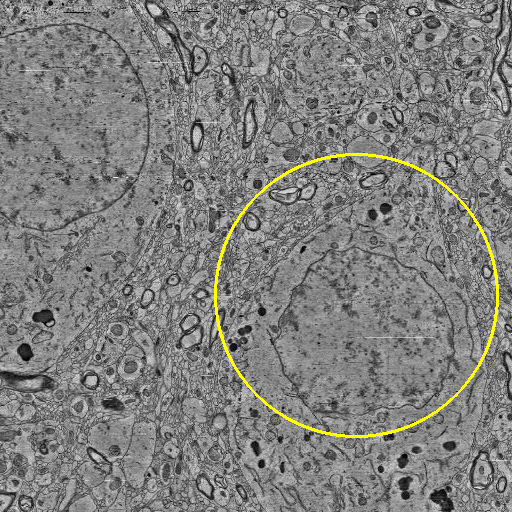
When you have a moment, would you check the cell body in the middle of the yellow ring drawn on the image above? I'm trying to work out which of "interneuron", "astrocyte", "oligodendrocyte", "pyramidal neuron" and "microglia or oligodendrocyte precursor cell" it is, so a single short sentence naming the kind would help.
This cell body belongs to a pyramidal neuron.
